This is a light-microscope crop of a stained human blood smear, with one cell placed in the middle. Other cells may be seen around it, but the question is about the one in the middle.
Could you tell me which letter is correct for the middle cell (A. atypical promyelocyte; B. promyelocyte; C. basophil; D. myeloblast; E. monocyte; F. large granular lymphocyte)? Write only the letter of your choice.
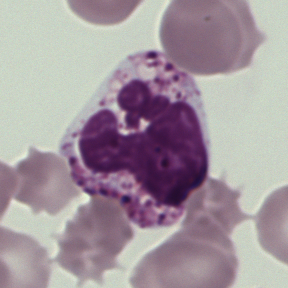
C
